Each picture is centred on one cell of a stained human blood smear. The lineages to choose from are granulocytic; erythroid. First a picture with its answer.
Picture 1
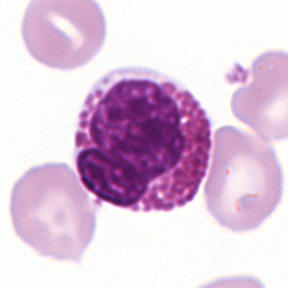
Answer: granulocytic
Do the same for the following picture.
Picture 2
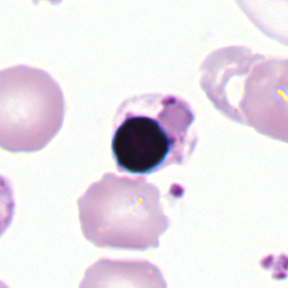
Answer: erythroid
